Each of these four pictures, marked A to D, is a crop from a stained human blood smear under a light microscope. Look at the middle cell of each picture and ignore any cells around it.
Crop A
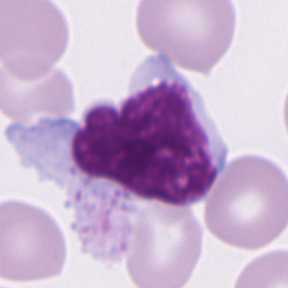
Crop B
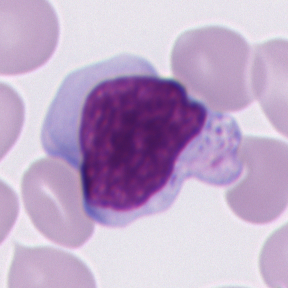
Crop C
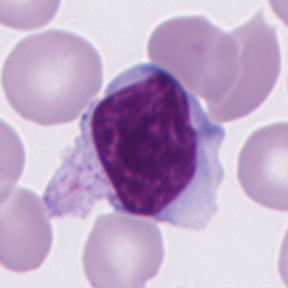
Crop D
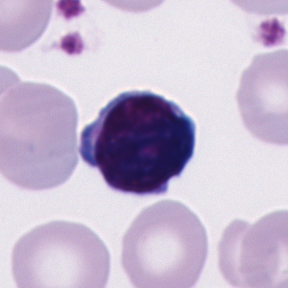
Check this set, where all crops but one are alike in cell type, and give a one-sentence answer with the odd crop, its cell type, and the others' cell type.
With the other crops all showing large granular lymphocytes, crop D differs by showing a typical lymphocyte.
